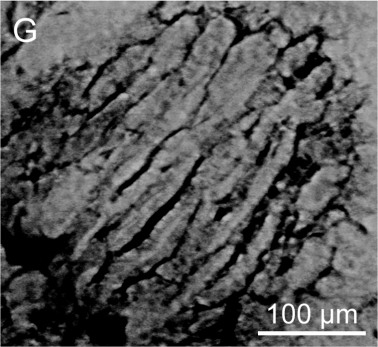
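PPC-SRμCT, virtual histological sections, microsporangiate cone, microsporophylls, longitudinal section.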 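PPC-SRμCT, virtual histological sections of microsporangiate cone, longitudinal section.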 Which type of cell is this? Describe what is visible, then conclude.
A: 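Elongated cells lie side by side in parallel rows. Cell outlines are thin dark lines with pale, featureless interiors.
Parenchyma-like cells.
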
